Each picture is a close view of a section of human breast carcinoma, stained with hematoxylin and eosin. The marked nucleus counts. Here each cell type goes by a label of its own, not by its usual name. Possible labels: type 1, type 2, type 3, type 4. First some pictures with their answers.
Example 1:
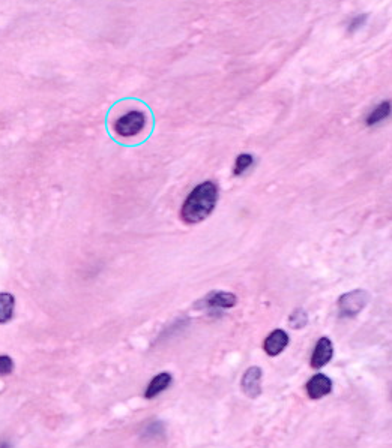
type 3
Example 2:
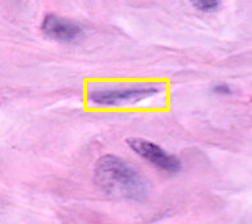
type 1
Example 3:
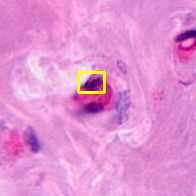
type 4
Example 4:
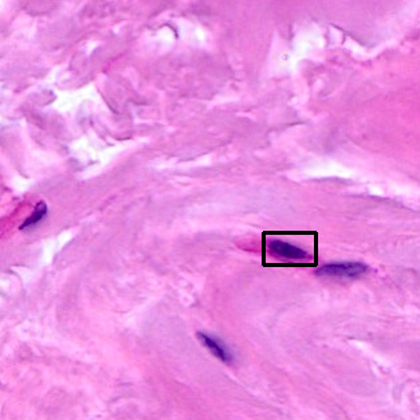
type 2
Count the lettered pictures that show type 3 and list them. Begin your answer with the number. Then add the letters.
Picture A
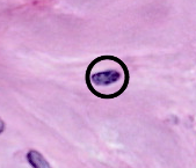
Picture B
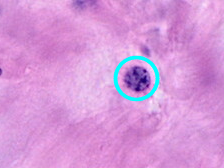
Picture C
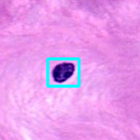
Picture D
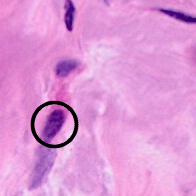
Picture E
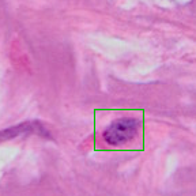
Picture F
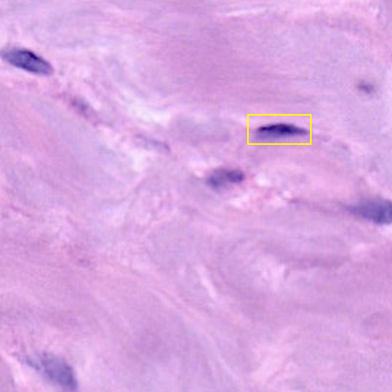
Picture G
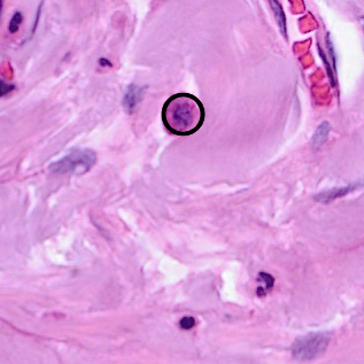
Count: 2 (A, C)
